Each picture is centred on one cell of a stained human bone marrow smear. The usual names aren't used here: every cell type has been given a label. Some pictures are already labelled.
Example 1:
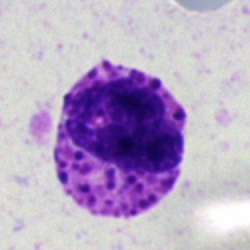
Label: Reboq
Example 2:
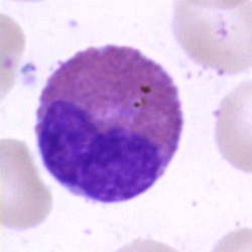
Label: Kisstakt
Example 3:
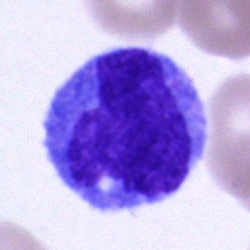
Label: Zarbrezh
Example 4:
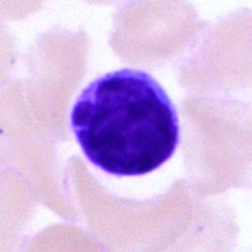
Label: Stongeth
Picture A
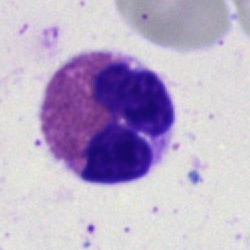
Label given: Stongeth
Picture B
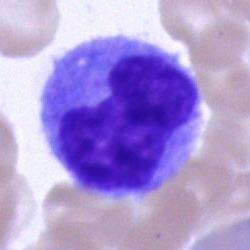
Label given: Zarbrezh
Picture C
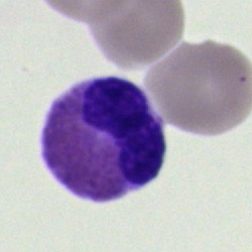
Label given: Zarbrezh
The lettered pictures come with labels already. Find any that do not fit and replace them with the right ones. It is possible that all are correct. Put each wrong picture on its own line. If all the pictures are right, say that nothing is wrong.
A: not Stongeth but Kisstakt
C: not Zarbrezh but Kisstakt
